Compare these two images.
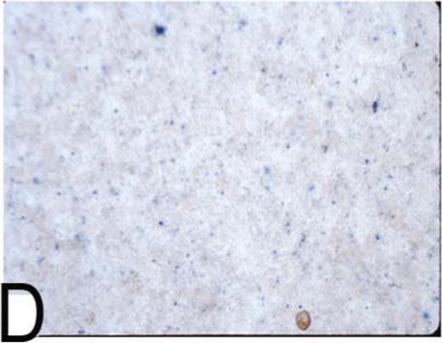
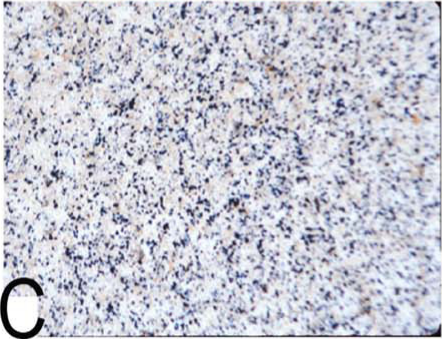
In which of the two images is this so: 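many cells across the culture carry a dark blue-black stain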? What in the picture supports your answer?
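First image: a pale field with only scattered small dark dots. Second image: dense dark blue-black dots spread over the whole field. On this evidence: the second image.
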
